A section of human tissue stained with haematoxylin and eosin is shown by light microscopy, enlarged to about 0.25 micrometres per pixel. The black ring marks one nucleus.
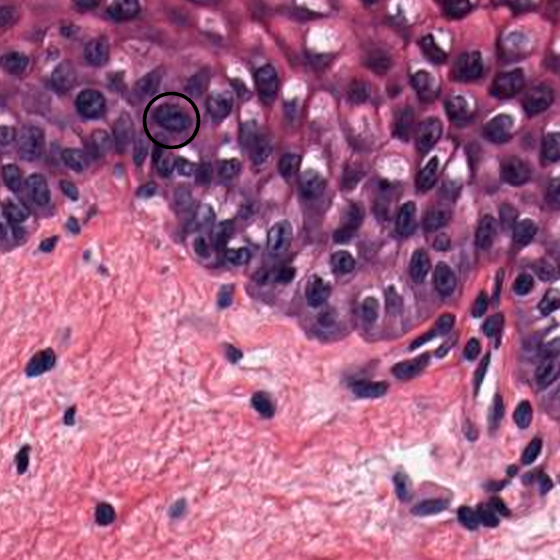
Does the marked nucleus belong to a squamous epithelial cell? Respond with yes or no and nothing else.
yes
